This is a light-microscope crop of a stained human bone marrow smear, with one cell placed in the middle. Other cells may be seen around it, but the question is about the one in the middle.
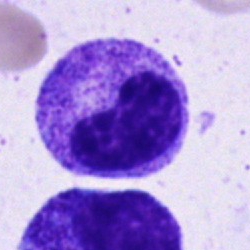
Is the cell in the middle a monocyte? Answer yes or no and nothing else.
no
